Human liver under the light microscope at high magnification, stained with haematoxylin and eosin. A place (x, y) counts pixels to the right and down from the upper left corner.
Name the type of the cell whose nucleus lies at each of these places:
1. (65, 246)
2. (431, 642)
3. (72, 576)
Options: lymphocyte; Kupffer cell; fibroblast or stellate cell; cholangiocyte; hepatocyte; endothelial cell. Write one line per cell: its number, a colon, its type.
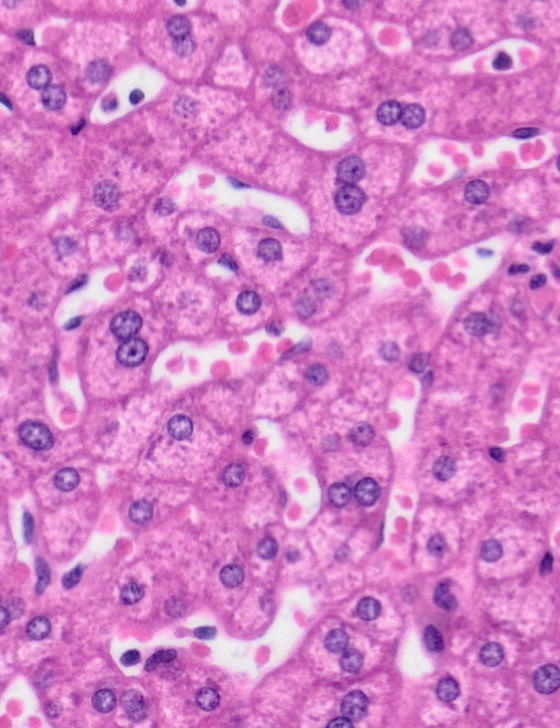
1: hepatocyte
2: Kupffer cell
3: lymphocyte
